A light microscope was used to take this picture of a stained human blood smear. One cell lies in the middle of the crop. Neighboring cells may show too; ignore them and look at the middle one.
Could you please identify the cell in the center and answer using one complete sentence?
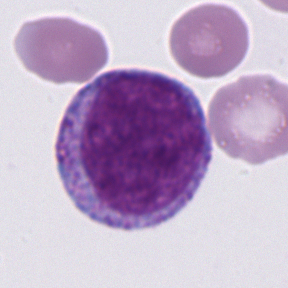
As for the central cell, it is a promyelocyte.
